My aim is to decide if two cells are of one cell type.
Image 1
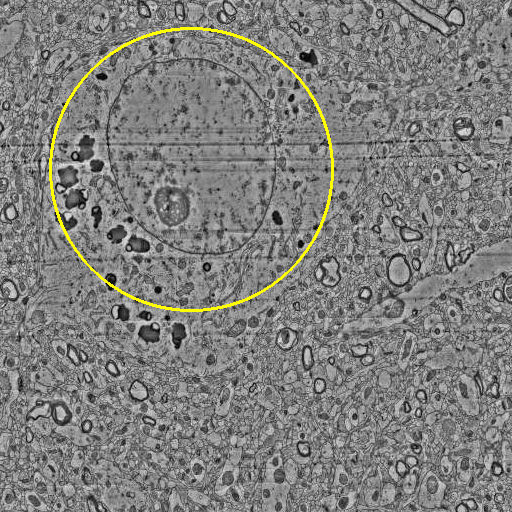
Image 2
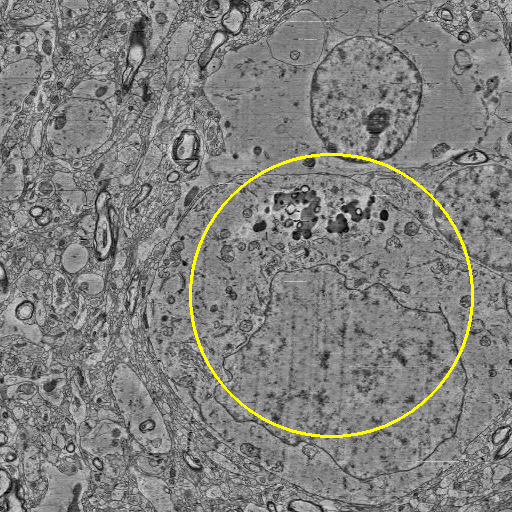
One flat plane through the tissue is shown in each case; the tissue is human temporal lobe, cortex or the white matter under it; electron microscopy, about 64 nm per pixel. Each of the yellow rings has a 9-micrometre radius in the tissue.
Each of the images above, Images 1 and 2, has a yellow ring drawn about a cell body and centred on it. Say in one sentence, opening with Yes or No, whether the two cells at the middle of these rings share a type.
Yes, in Images 1 and 2 the cells at the middle of the rings share one type.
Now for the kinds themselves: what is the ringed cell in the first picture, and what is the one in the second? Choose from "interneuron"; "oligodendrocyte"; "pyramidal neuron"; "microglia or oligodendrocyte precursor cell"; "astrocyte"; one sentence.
Each one of the two ringed cells is a pyramidal neuron.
